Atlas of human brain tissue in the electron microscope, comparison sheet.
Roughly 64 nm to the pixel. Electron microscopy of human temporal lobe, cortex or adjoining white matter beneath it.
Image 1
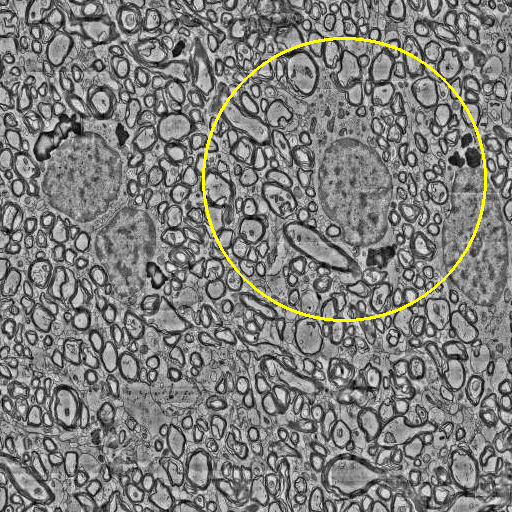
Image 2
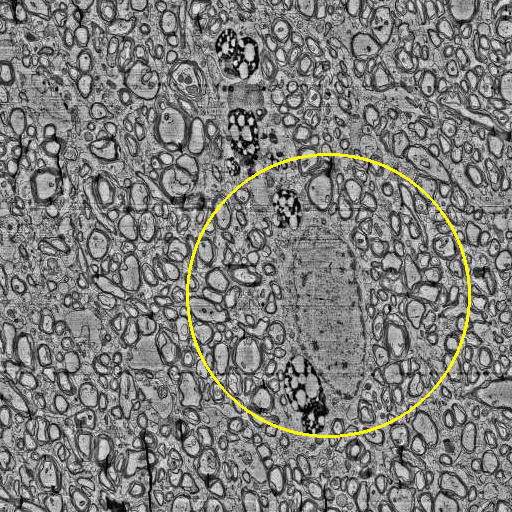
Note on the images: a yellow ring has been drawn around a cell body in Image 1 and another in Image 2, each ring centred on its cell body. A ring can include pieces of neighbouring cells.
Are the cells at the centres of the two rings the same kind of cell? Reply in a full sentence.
No, the two cells are of two kinds.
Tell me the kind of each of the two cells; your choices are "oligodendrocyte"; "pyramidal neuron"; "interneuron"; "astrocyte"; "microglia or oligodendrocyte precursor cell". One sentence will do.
The ringed cell is an oligodendrocyte in the first picture and an astrocyte in the second picture.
